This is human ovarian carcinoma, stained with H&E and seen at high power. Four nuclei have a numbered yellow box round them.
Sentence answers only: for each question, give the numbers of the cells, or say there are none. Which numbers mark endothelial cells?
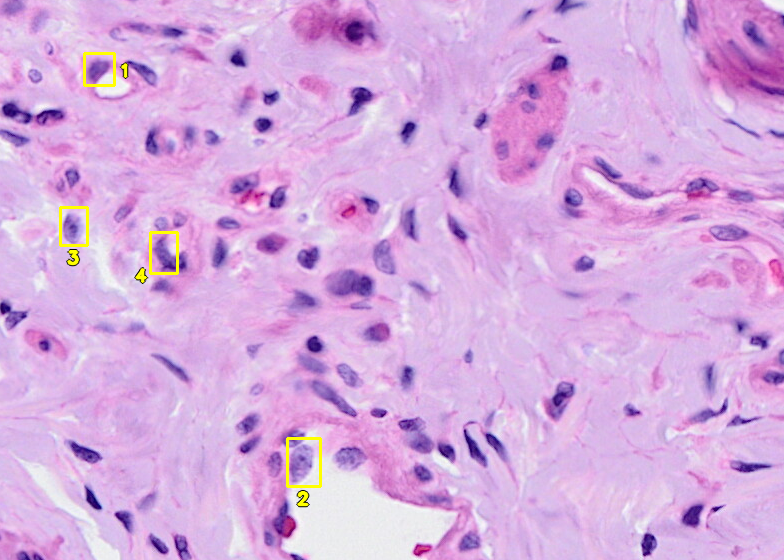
Marked by the numbers 1, 2 and 4 are cells that are endothelial cells.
